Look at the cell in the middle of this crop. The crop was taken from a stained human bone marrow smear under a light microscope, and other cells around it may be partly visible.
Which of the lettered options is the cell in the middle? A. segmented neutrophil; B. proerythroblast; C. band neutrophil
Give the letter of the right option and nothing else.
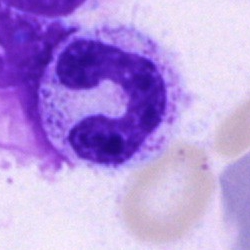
C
